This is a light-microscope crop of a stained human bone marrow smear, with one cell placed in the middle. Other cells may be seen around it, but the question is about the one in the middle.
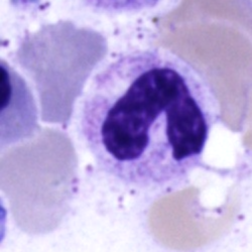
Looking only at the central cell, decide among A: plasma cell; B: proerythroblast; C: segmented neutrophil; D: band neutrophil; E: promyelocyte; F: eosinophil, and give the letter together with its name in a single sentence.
Option D stands as correct, the central cell being a band neutrophil.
